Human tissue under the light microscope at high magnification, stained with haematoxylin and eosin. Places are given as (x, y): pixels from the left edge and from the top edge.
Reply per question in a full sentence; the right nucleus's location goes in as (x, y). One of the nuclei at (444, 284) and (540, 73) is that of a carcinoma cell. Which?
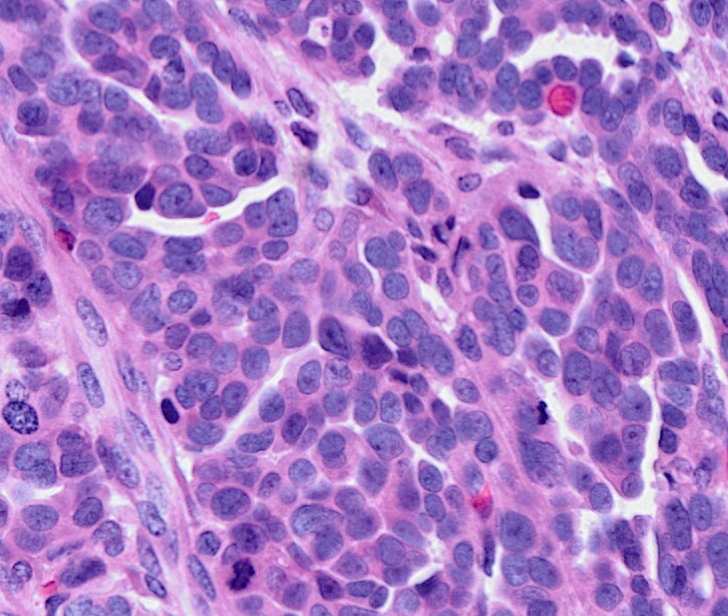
The pair contains one nucleus of a carcinoma cell, namely the one at (540, 73).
